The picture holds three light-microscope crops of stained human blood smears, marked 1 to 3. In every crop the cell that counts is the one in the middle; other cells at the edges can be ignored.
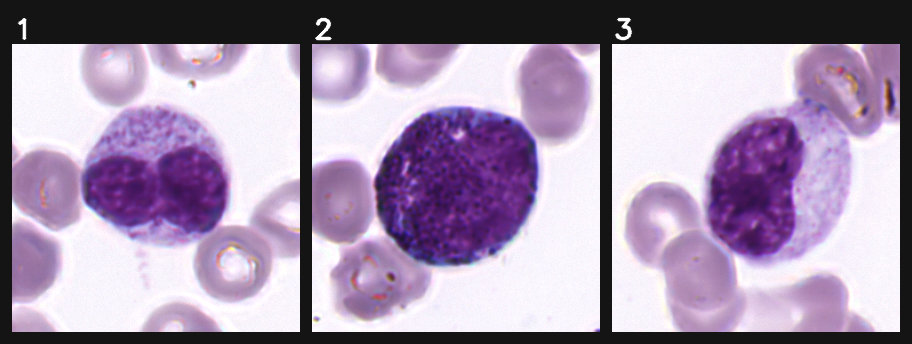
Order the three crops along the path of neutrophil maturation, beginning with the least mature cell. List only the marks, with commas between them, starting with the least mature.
2, 3, 1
